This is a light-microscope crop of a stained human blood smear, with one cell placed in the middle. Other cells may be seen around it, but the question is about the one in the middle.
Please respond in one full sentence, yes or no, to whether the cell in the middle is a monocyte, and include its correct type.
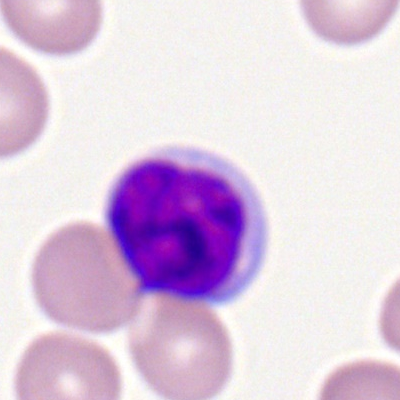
No, the cell in the middle is correctly named a lymphocyte, not a monocyte.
